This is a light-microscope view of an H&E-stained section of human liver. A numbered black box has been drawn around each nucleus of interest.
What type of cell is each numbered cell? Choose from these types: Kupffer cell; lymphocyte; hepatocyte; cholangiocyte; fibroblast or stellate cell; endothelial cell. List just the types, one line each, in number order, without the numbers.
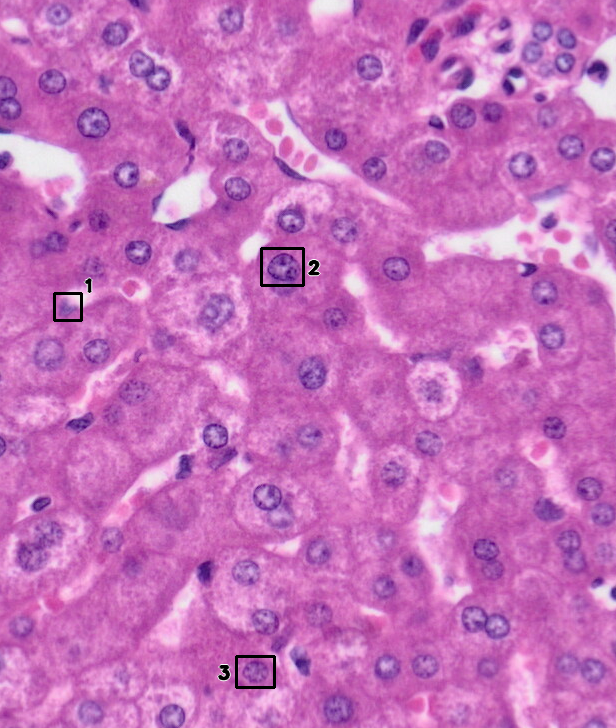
endothelial cell
hepatocyte
hepatocyte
